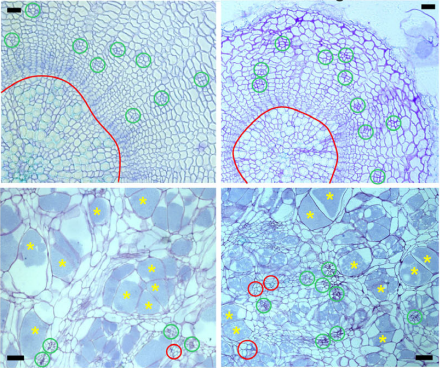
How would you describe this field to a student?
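In the upper images the cells are small and polygonal, with thin walls. Small groups of narrow cells lie outside this central region. In the lower images the orderly arrangement is lost. Many greatly enlarged, rounded cells are filled with finely granular pale blue material, and smaller, irregular cells with darker walls lie squeezed between them.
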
